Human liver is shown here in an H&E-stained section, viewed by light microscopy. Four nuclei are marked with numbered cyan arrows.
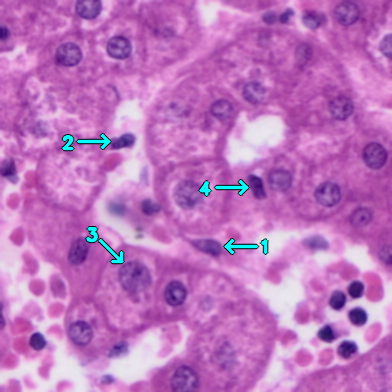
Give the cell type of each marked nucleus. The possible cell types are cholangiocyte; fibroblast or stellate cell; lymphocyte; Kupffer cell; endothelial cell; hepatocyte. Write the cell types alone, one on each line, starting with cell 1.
Kupffer cell
lymphocyte
hepatocyte
fibroblast or stellate cell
